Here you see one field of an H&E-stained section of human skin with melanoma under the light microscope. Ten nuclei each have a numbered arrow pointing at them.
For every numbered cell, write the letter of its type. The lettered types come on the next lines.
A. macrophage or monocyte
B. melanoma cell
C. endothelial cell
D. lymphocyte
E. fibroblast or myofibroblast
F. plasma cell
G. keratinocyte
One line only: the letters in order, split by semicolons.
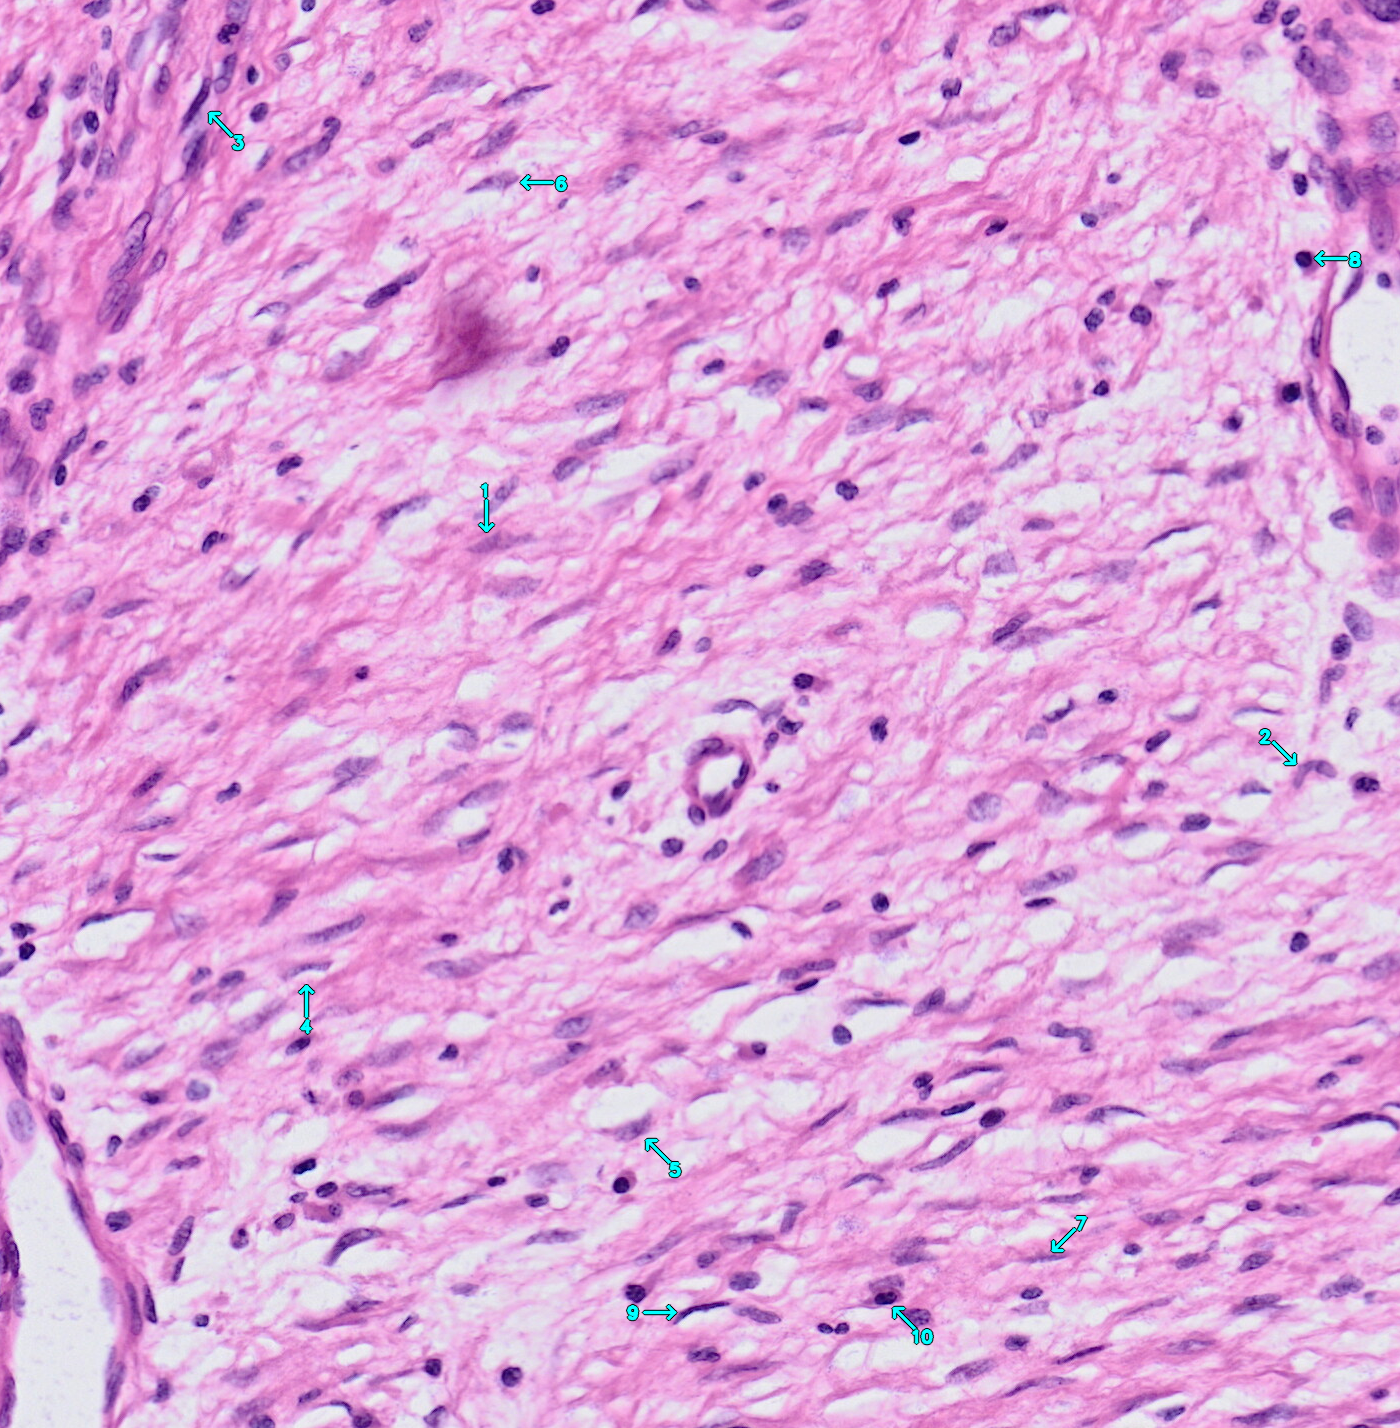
E; A; C; E; E; E; E; F; E; F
